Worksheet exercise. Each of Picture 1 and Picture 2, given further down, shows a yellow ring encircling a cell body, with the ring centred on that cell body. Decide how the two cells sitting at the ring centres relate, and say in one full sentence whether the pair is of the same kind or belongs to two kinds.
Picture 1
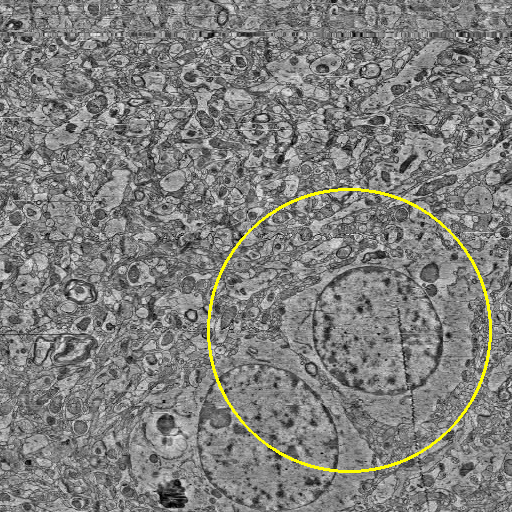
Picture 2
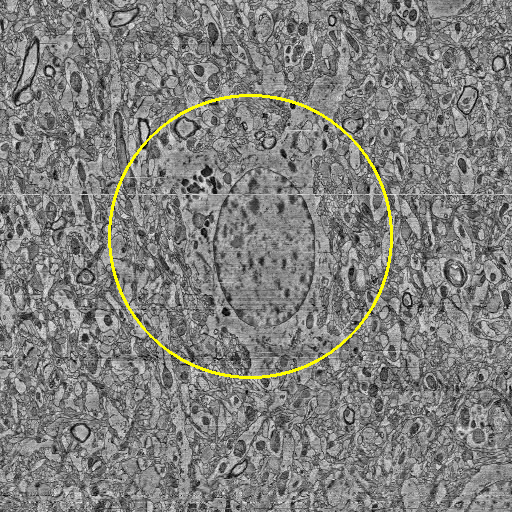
The cells at the ring centres in Picture 1 and Picture 2 are of the same kind.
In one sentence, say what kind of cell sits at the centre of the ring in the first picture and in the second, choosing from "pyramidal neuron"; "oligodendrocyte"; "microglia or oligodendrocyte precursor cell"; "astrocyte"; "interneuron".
In each of the two pictures, the ringed cell is an astrocyte.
